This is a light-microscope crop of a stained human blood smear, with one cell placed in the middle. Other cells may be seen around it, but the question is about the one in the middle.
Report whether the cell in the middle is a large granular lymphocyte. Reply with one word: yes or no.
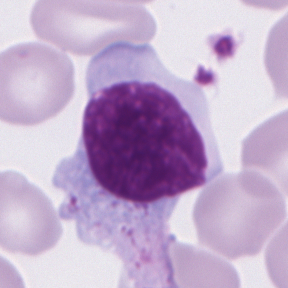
yes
